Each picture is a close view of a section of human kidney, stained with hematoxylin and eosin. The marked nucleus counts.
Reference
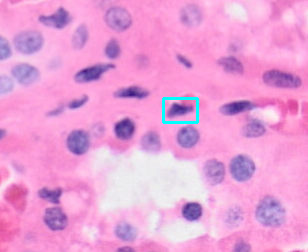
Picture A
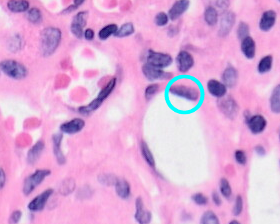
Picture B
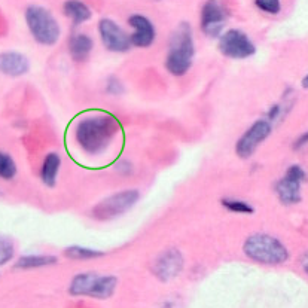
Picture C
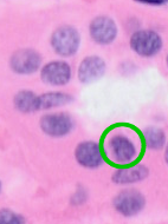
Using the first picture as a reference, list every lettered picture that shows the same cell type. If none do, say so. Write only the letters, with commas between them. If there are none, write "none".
A, B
